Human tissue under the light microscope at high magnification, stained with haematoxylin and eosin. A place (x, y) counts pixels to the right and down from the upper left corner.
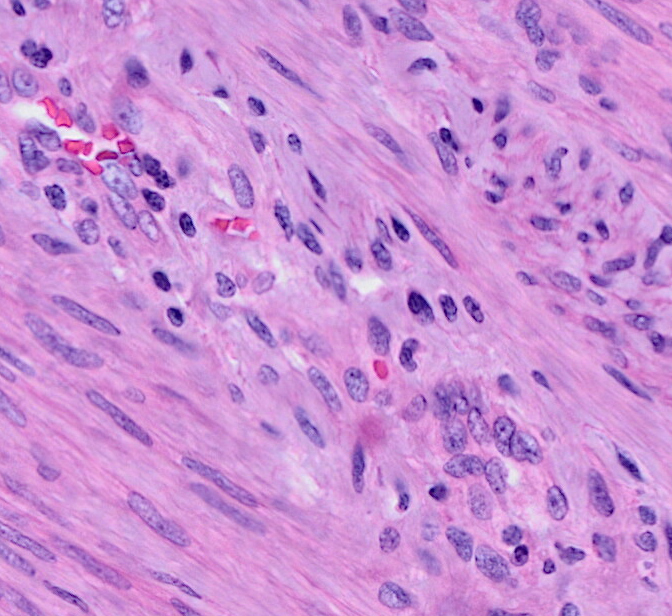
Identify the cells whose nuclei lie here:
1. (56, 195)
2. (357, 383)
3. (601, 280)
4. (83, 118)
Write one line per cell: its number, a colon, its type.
1: lymphocyte
2: endothelial cell
3: smooth muscle cell
4: endothelial cell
